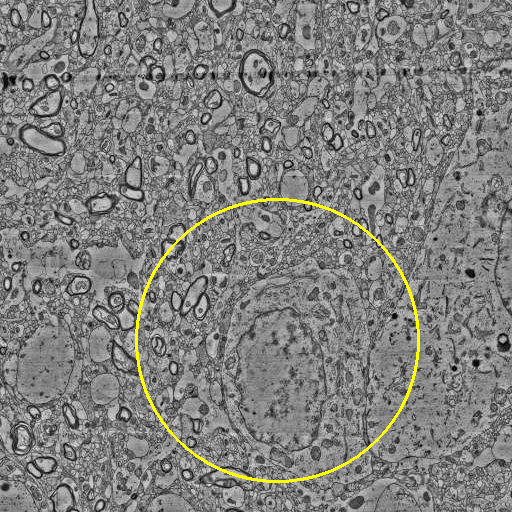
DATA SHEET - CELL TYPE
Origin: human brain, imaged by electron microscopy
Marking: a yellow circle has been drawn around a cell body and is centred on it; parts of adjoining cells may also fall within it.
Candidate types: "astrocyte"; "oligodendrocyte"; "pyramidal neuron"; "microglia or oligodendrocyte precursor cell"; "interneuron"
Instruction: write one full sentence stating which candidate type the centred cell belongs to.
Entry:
The cell body at the centre of the yellow ring in this micrograph belongs to an interneuron.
